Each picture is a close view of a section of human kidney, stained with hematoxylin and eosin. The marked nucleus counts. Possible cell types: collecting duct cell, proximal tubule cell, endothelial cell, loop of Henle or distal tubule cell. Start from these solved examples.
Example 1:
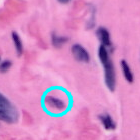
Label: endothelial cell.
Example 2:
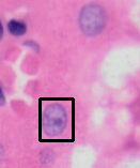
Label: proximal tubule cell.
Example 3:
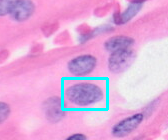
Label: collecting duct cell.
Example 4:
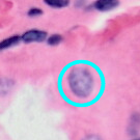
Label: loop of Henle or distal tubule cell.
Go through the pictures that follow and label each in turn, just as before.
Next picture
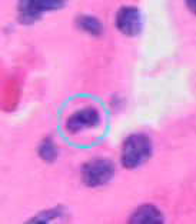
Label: loop of Henle or distal tubule cell.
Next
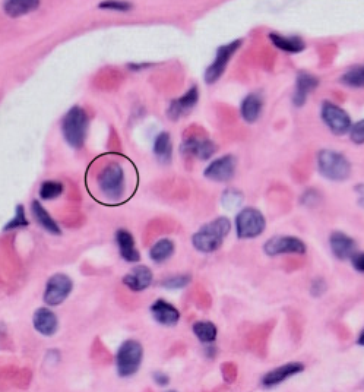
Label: endothelial cell.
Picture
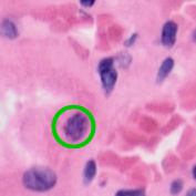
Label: proximal tubule cell.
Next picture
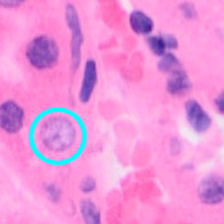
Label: proximal tubule cell.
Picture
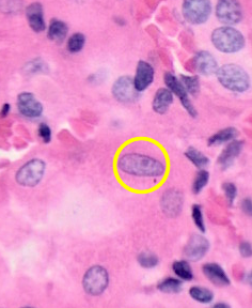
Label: proximal tubule cell.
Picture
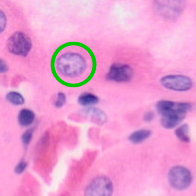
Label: proximal tubule cell.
